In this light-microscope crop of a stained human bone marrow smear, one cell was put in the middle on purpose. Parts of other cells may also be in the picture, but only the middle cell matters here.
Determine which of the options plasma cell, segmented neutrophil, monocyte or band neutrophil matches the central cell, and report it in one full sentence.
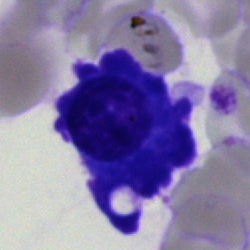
Whatever else lies nearby, the middle cell is a plasma cell.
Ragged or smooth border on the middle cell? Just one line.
Because its outline is ragged or drawn out into projections, the cell lacks a smooth border.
